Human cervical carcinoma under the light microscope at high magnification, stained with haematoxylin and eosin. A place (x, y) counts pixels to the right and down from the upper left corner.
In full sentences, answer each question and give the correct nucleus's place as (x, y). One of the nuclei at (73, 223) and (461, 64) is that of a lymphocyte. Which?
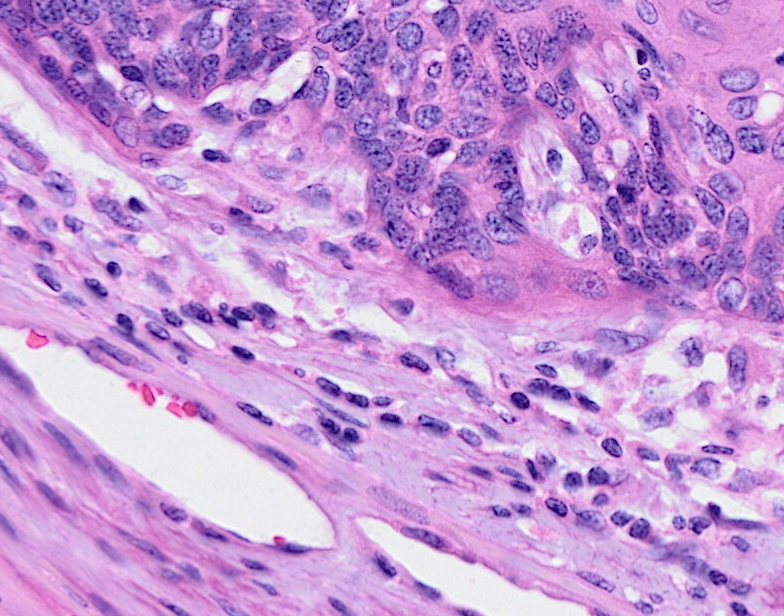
Located at (73, 223), this nucleus is the one belonging to a lymphocyte.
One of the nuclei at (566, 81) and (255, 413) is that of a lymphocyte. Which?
Belonging to a lymphocyte is the nucleus at (255, 413).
